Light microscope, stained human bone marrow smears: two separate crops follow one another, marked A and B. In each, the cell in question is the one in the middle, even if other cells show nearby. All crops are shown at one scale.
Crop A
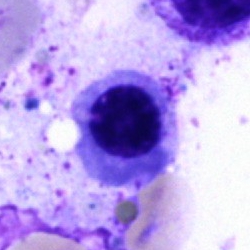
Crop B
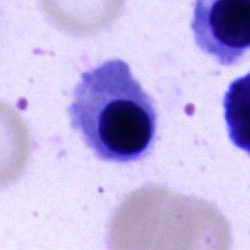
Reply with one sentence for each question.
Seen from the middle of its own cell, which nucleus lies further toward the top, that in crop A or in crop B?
In crop A the nucleus is shifted more toward the top.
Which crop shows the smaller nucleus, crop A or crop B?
The nucleus in crop B is smaller; the one in crop A has about 2 times its area.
